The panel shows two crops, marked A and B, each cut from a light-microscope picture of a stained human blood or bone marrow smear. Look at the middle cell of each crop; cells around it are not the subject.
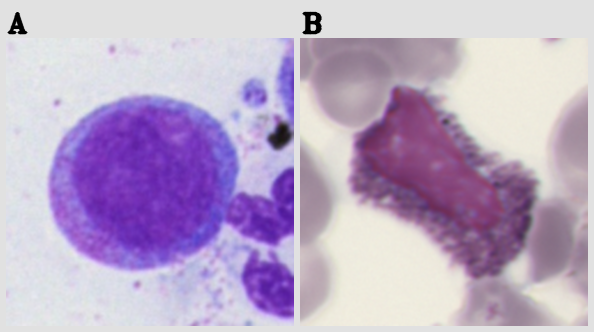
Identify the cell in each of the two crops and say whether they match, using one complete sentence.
No, the middle of crop A shows a promyelocyte, and the middle of crop B shows an eosinophil.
